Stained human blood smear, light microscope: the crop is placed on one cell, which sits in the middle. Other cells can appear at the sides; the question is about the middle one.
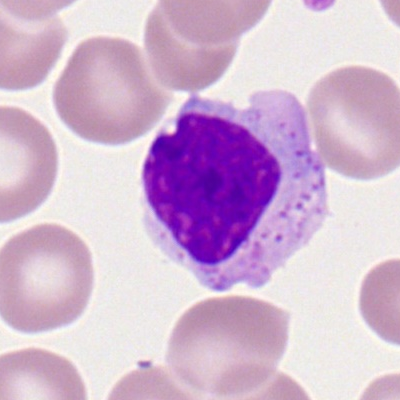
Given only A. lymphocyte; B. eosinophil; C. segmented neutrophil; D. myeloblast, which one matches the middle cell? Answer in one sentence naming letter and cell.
At the centre of the crop lies a lymphocyte, which makes option A correct.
